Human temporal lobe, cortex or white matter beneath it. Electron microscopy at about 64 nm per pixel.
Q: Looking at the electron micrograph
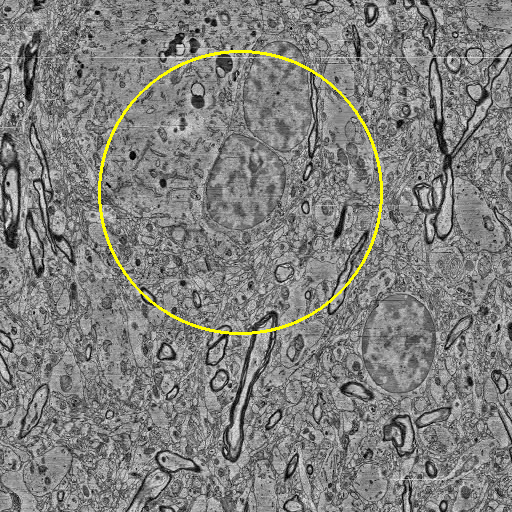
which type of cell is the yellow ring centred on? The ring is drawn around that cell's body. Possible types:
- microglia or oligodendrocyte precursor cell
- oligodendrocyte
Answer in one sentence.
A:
The yellow ring is centred on an oligodendrocyte.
